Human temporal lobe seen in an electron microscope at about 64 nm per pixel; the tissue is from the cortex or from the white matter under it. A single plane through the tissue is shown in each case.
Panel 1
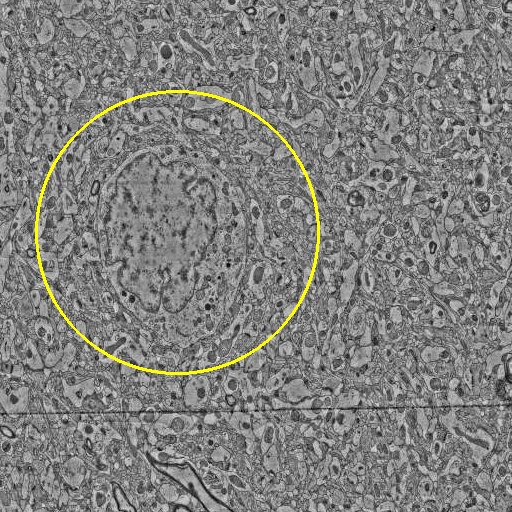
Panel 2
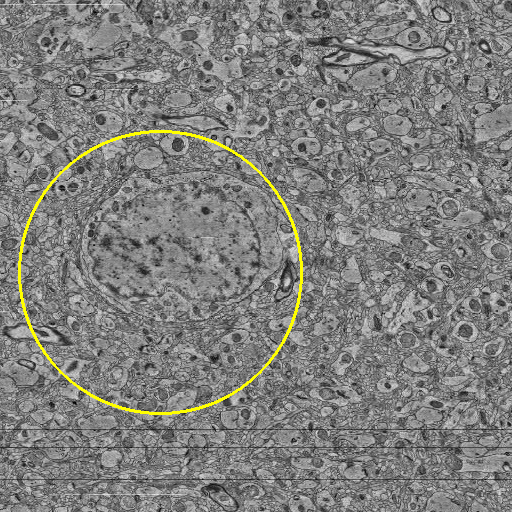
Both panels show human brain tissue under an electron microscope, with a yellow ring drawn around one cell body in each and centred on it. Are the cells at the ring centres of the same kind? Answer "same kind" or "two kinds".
same kind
